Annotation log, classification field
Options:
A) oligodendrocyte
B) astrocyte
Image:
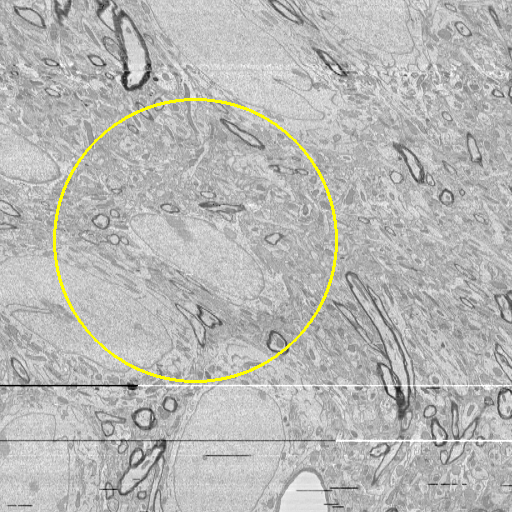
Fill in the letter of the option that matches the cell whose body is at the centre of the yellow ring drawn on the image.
B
